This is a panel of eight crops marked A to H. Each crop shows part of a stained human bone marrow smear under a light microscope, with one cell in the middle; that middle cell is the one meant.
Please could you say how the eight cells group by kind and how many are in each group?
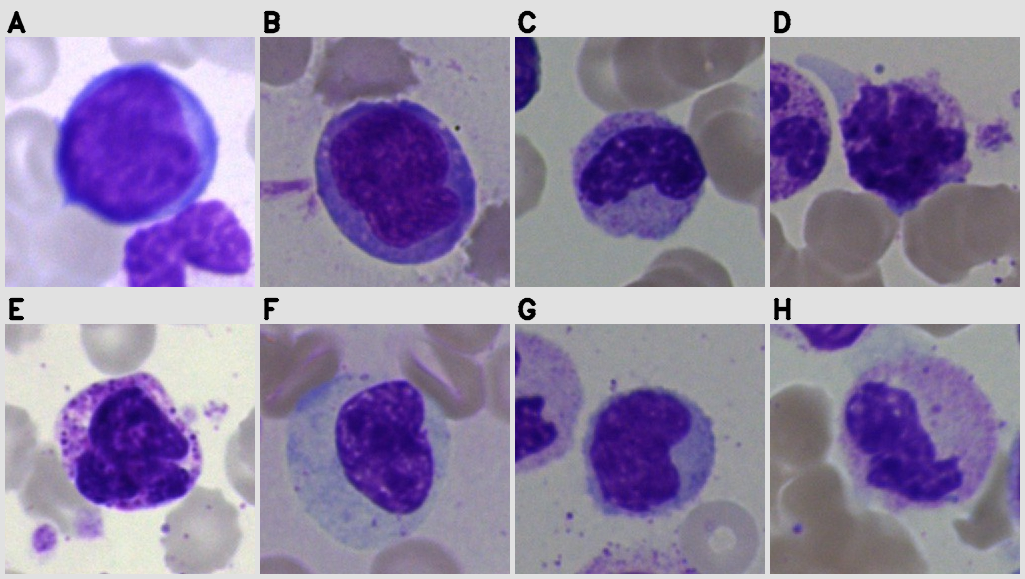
metamyelocyte: 3
basophil: 3
blast: 2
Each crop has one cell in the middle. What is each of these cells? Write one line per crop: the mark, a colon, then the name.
A: blast
B: blast
C: metamyelocyte
D: basophil
E: basophil
F: metamyelocyte
G: metamyelocyte
H: basophil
